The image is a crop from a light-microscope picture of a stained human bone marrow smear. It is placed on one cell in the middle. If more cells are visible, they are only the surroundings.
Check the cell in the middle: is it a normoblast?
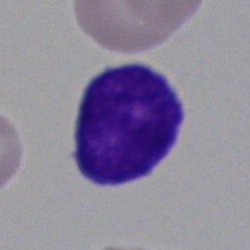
no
